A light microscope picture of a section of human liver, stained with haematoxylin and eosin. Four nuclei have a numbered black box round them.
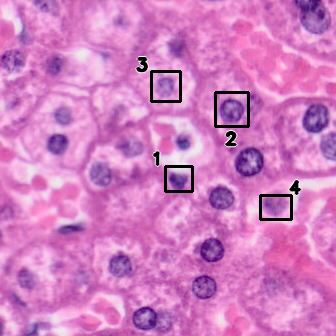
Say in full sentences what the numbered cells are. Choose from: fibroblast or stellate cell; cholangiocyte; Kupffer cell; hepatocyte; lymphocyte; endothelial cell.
Cell 1 is a fibroblast or stellate cell. Cells 2 and 3 are hepatocytes. Cell 4 is a Kupffer cell.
